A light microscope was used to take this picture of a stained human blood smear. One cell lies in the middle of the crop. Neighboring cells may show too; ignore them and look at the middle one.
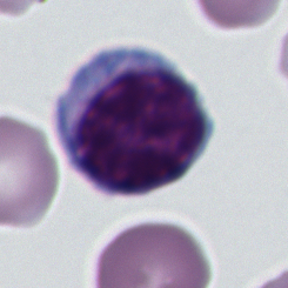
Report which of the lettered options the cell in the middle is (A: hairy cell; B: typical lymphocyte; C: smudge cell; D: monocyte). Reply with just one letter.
B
